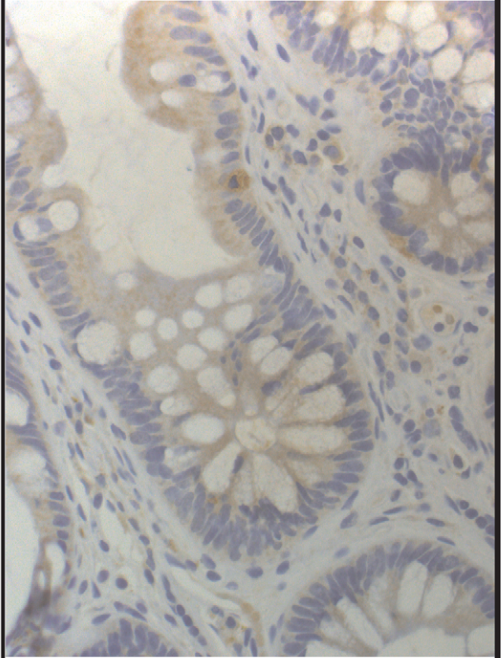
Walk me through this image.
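Intestinal glands cut in cross and oblique section are lined by a single layer of columnar epithelial cells with blue basal nuclei and brownish cytoplasm, interspersed with many pale, rounded mucus-filled goblet cells that crowd around the central lumina. Between the glands lies connective tissue with spindle-shaped stromal cells and scattered small round cells, a few of which are stained brown.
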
